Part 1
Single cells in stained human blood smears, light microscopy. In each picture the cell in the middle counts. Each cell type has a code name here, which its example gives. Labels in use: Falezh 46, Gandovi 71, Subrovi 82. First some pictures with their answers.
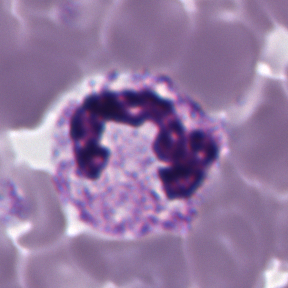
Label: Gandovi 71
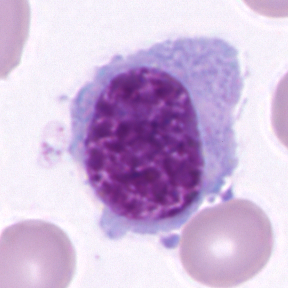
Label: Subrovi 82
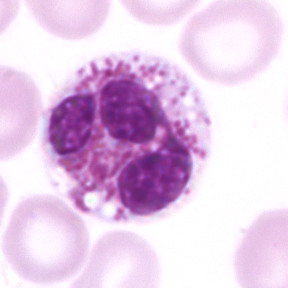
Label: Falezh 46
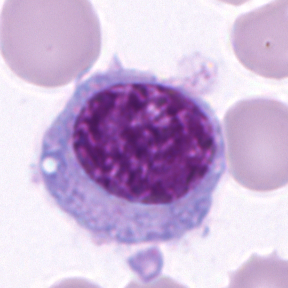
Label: Subrovi 82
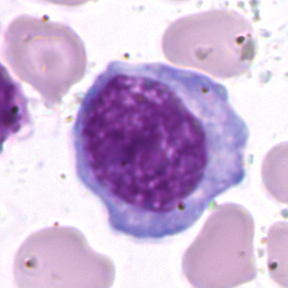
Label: Subrovi 82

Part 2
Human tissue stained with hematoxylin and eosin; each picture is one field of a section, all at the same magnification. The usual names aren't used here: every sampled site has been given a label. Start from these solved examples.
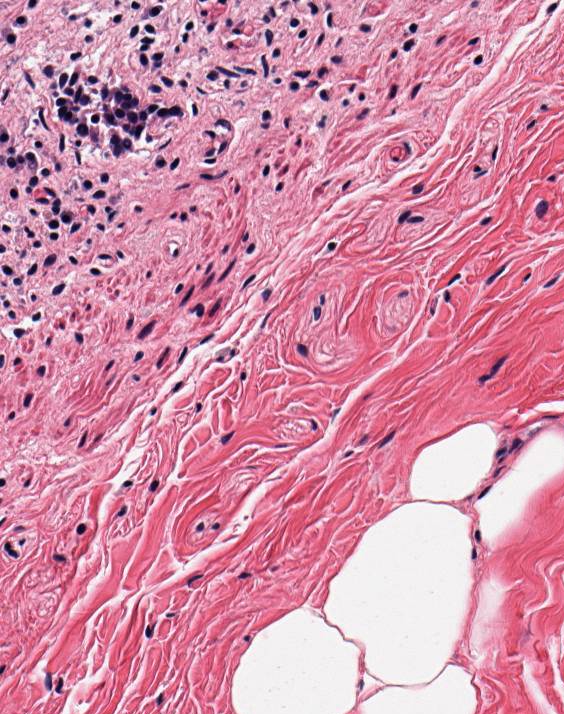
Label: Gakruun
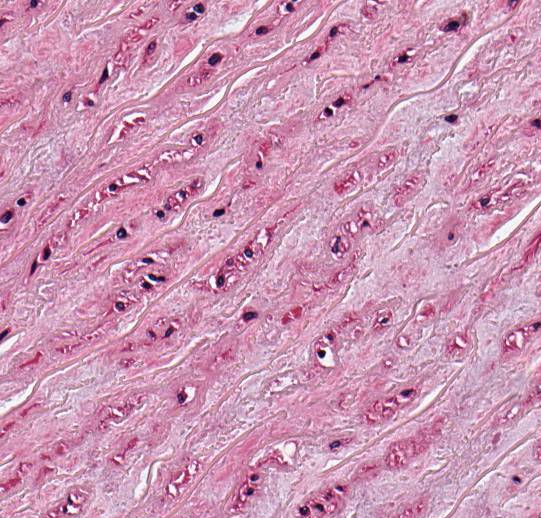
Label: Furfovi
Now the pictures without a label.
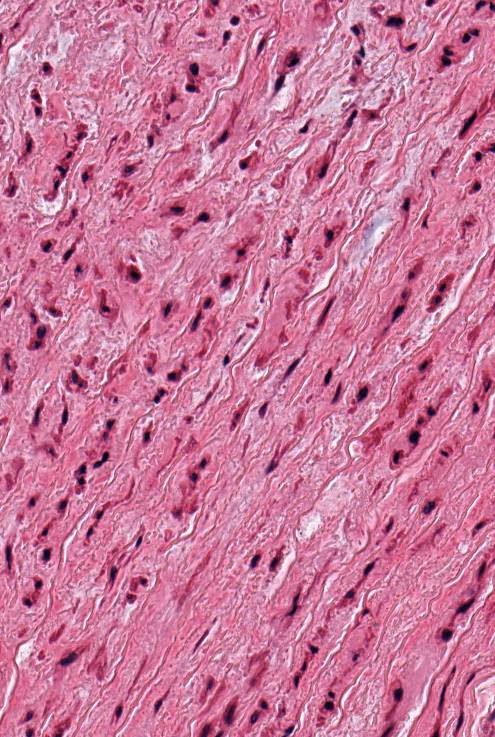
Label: Furfovi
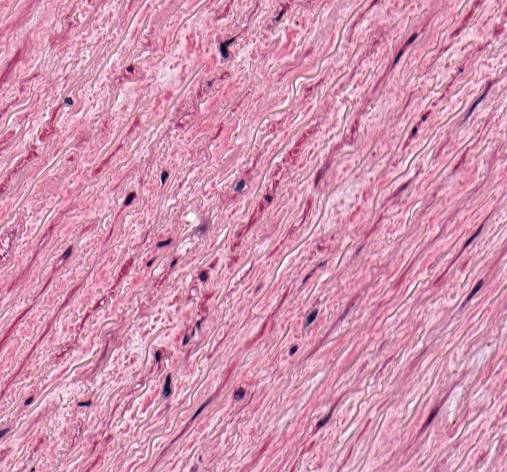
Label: Furfovi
